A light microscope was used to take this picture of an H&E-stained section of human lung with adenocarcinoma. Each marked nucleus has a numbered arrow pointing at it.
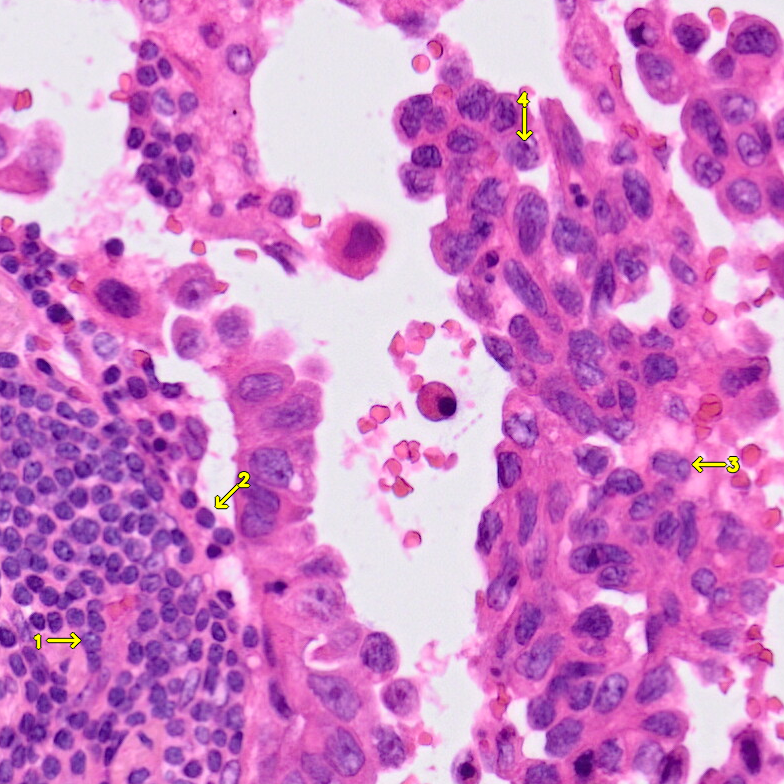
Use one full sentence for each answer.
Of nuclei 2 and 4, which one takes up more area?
Nucleus 4 is the larger one, covering about 2 times the area of nucleus 2.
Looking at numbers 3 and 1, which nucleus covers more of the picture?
It is nucleus 3, which covers about 2.5 times the area of nucleus 1.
